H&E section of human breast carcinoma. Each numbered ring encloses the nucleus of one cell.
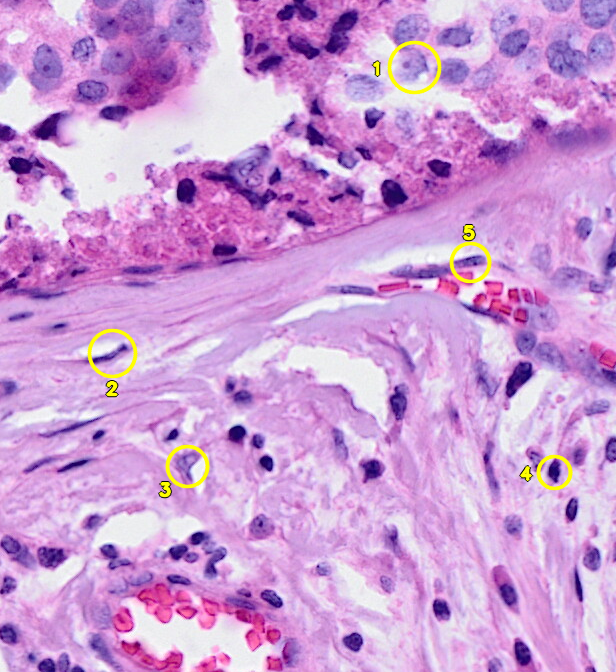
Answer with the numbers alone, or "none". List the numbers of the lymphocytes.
4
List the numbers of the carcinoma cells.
1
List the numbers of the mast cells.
none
